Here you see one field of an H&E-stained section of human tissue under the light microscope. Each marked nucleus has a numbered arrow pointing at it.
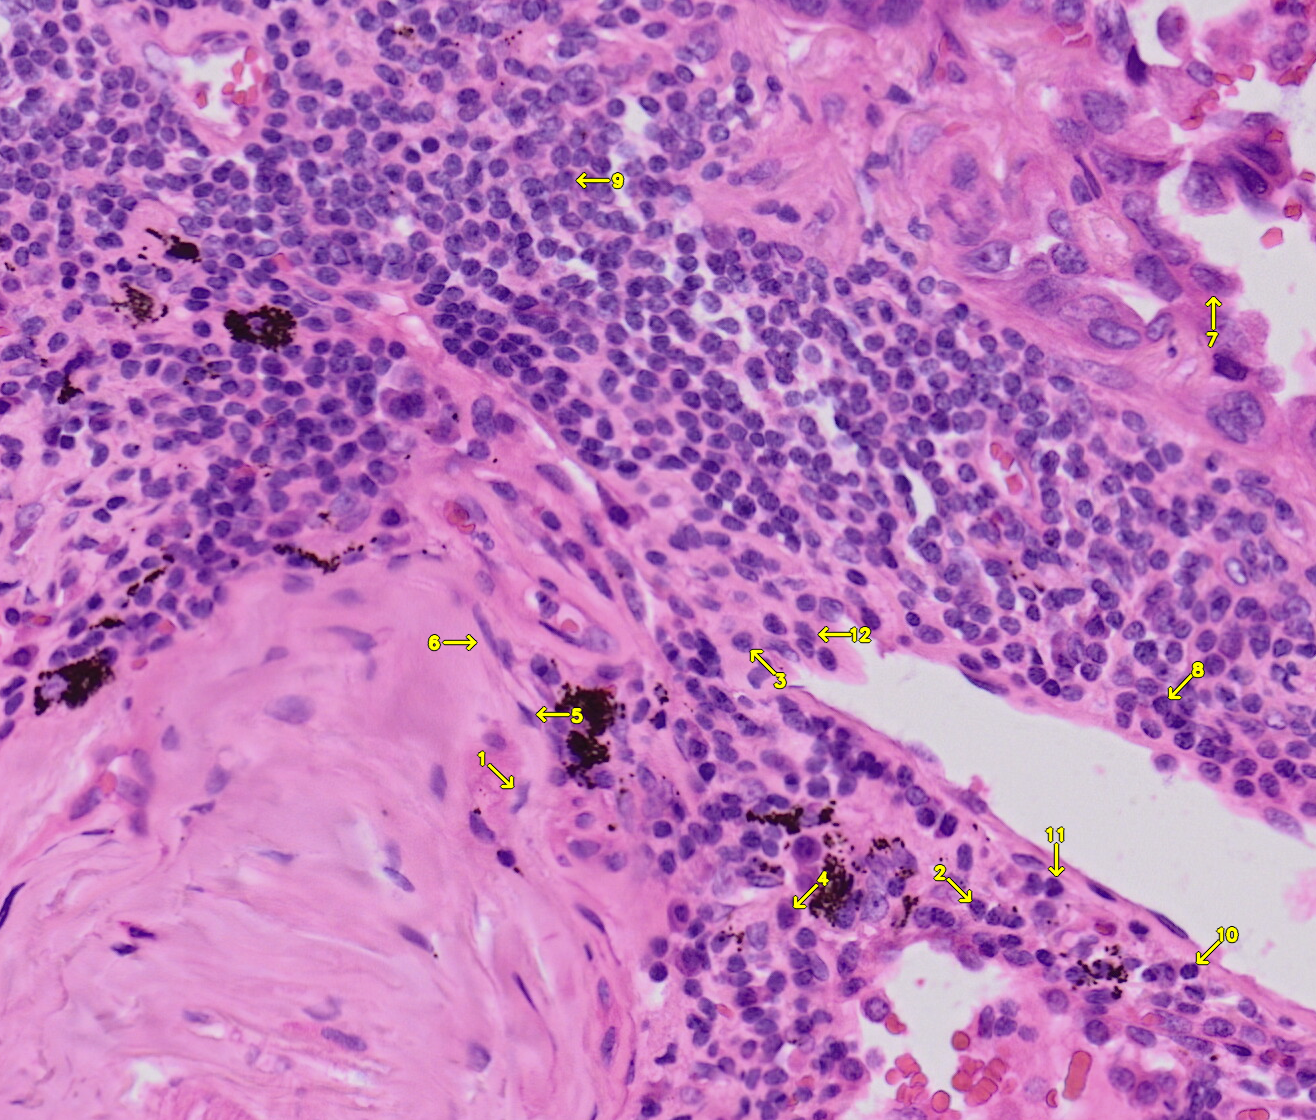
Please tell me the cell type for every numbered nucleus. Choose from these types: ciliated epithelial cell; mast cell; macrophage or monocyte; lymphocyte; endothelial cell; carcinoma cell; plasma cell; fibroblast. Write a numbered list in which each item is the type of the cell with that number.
1. fibroblast
2. lymphocyte
3. lymphocyte
4. plasma cell
5. fibroblast
6. fibroblast
7. carcinoma cell
8. lymphocyte
9. lymphocyte
10. lymphocyte
11. lymphocyte
12. lymphocyte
